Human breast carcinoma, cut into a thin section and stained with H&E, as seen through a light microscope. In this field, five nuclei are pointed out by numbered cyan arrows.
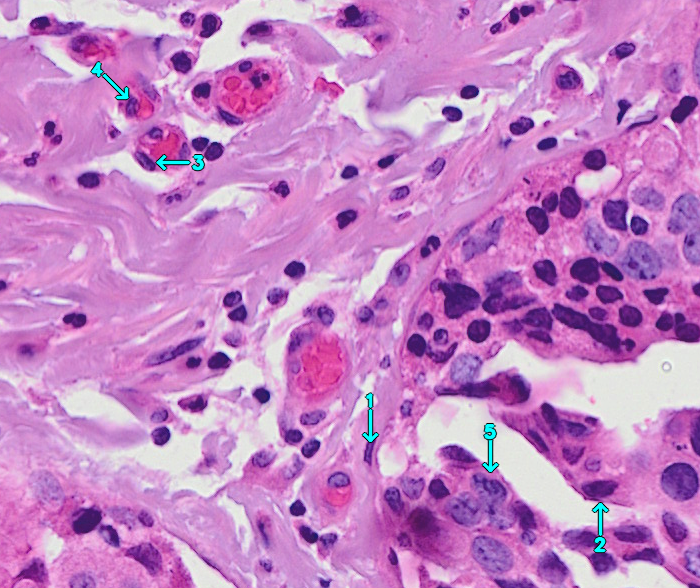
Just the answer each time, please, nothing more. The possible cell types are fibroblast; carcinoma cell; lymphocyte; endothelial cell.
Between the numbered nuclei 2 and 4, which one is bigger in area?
2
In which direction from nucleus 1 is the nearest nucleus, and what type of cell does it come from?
an endothelial cell; below and to the left of nucleus 1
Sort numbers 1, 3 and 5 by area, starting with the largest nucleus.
5, 3, 1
